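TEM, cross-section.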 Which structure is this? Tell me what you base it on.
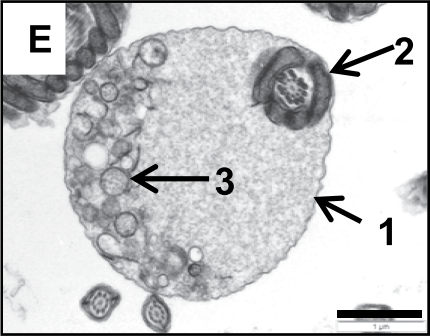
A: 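A rounded membrane-bound body of pale granular cytoplasm. Several small round vesicles cluster along one side. A cross-sectioned flagellar piece lies at its edge.
Cytoplasmic droplet.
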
